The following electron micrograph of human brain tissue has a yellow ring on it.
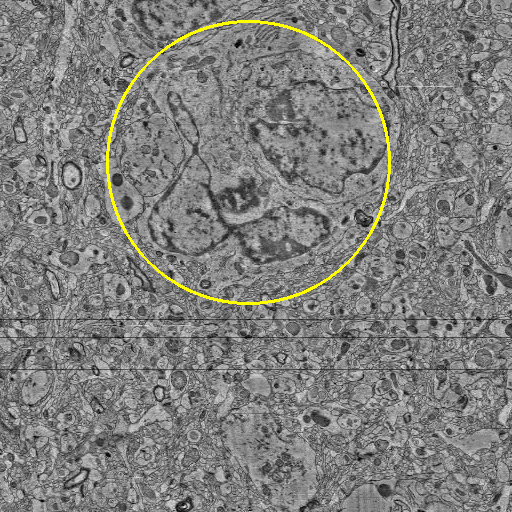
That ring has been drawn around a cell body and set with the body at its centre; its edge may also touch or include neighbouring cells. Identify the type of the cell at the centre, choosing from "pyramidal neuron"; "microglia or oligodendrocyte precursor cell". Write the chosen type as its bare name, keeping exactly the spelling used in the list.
microglia or oligodendrocyte precursor cell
